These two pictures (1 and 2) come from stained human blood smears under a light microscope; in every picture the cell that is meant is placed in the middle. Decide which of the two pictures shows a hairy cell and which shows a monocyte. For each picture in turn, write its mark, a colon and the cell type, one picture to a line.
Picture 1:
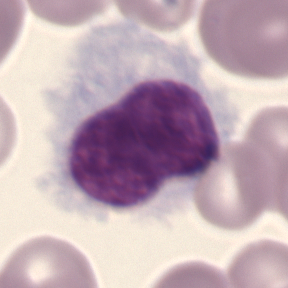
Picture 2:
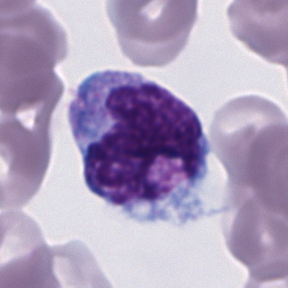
1: hairy cell
2: monocyte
